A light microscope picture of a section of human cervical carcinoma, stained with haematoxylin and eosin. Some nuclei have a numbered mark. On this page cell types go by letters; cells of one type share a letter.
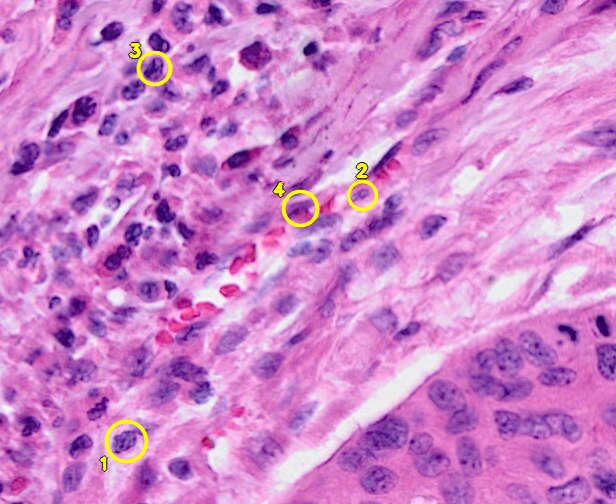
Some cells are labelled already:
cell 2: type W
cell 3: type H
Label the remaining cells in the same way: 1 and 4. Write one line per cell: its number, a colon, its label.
1: type H
4: type W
